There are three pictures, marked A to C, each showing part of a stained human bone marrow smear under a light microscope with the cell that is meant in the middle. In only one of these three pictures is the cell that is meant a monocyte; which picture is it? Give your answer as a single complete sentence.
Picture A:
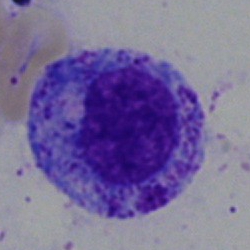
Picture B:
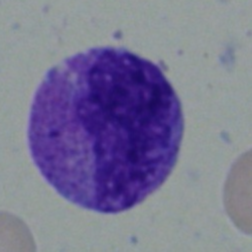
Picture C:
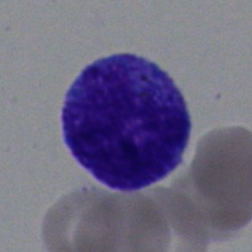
The monocyte is the one in picture C.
